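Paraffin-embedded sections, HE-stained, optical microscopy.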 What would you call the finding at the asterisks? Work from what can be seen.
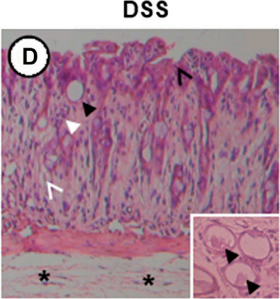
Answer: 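The layer beneath the mucosa marked by the asterisks is widened and pale. The marked layer is loose, with few cells and wide clear spaces. The answer: edema.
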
